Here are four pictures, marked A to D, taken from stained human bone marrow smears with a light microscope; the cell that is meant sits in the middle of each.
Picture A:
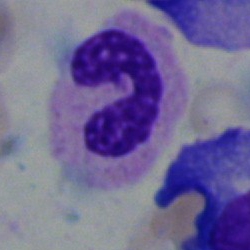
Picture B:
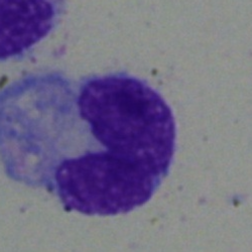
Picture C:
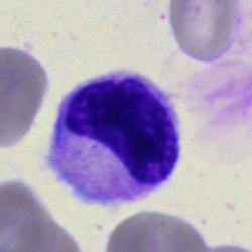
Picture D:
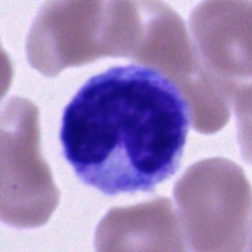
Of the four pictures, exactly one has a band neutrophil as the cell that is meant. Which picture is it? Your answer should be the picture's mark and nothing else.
A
